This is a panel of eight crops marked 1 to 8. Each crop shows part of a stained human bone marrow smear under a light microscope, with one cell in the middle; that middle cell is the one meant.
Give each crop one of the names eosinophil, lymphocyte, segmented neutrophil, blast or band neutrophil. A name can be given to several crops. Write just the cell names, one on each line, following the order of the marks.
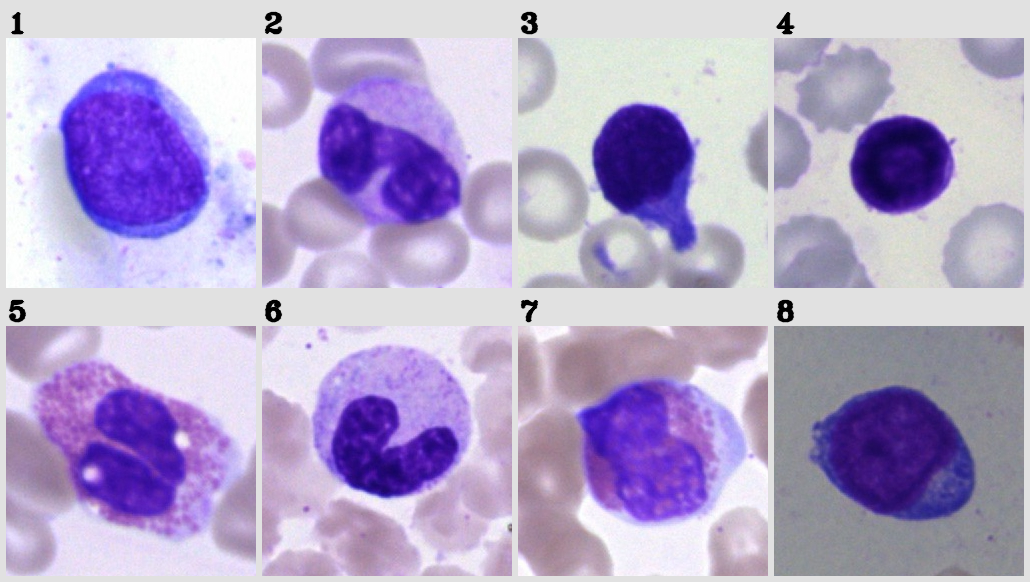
blast
band neutrophil
blast
lymphocyte
eosinophil
band neutrophil
eosinophil
blast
